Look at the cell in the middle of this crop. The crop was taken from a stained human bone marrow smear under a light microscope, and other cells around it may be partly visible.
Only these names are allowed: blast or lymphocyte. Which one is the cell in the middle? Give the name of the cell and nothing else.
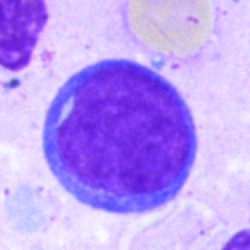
blast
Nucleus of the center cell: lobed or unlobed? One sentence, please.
There is one compact nucleus, and its shape is round, oval or kidney-like.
